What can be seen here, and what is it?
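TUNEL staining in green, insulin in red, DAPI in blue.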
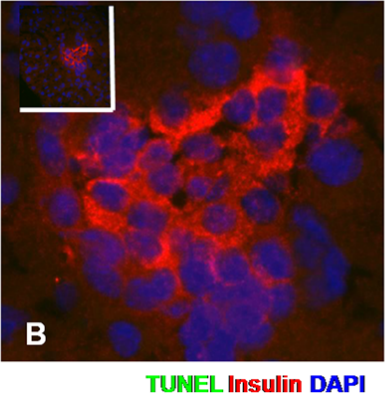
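This is a pancreatic islet at high magnification. No green dots can be seen in any nucleus. Blue nuclei of surrounding cells without red stain border the cluster. An inset at the upper left shows the islet at low magnification as a small red-outlined group within the surrounding tissue.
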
